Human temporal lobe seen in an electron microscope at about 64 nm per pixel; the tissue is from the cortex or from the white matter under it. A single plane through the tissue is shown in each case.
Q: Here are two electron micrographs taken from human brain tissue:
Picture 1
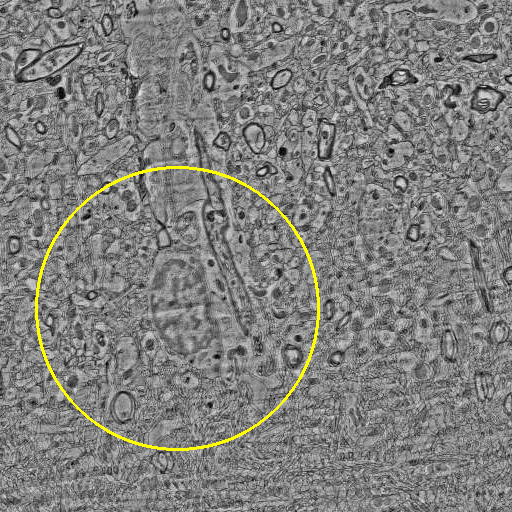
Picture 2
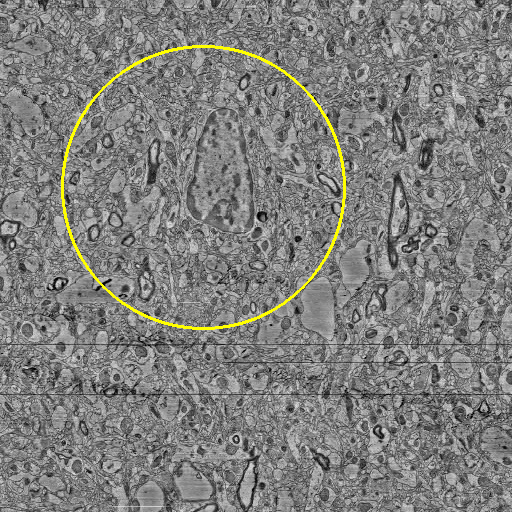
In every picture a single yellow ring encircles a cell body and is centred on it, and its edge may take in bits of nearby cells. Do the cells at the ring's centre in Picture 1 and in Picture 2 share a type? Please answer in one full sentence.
No, the cells at the ring's centre in Picture 1 and Picture 2 are of two types.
